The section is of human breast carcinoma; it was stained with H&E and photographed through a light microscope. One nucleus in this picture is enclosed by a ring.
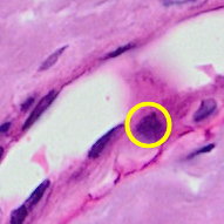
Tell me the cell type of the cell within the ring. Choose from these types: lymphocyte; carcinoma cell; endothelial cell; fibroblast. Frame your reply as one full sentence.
Among the cells in this section, the cell within the ring is an endothelial cell.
